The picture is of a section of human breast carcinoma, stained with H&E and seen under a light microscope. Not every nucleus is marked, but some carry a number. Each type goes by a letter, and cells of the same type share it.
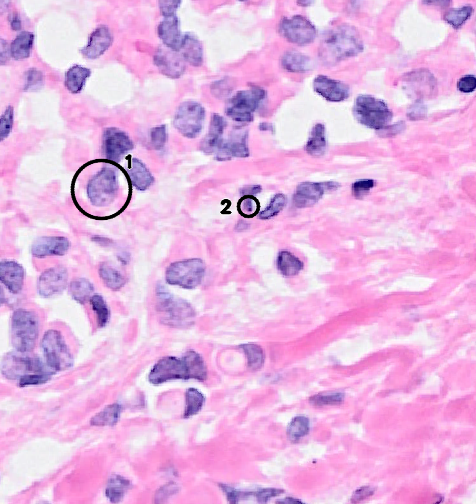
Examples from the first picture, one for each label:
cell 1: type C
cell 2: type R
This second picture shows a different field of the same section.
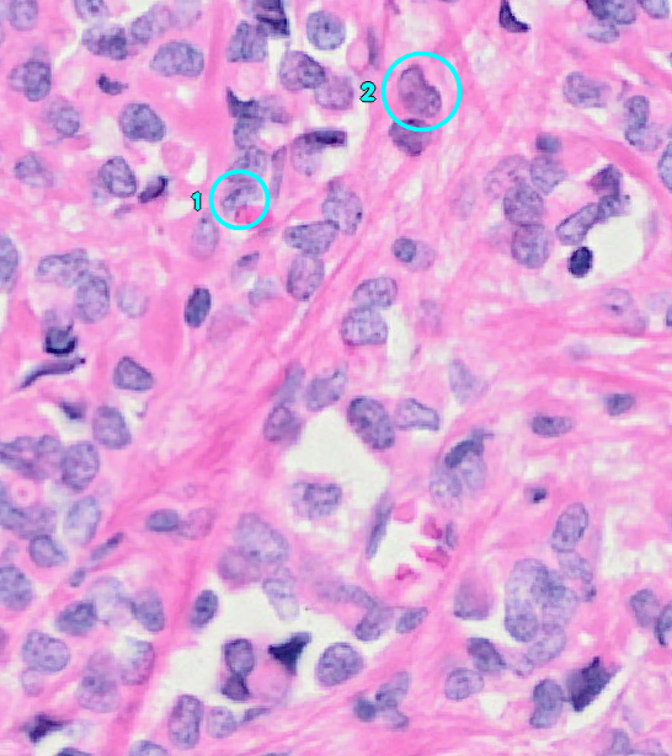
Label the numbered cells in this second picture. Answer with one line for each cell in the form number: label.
1: type R
2: type C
